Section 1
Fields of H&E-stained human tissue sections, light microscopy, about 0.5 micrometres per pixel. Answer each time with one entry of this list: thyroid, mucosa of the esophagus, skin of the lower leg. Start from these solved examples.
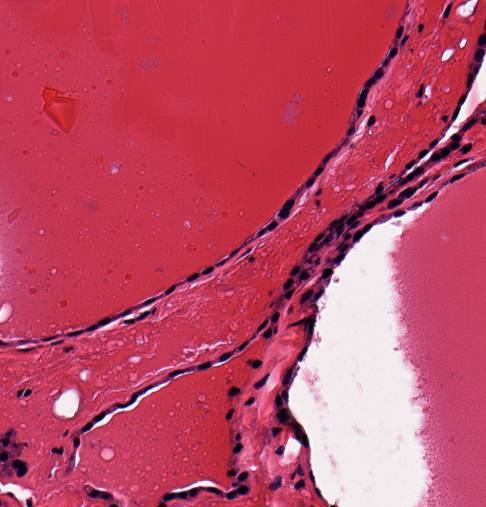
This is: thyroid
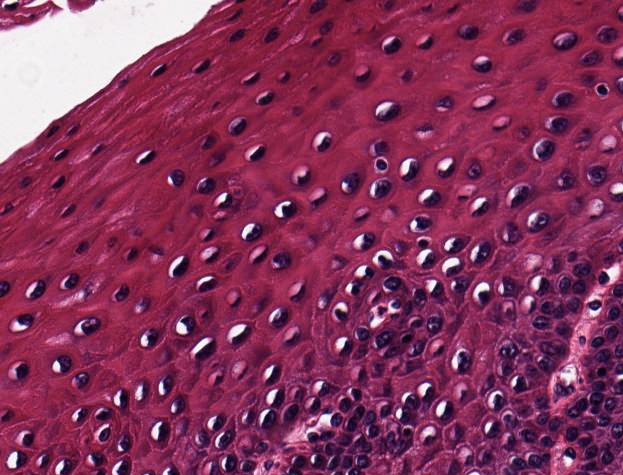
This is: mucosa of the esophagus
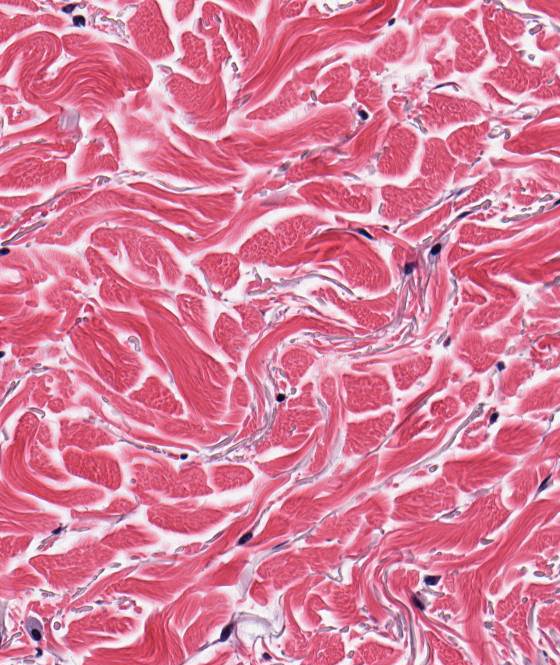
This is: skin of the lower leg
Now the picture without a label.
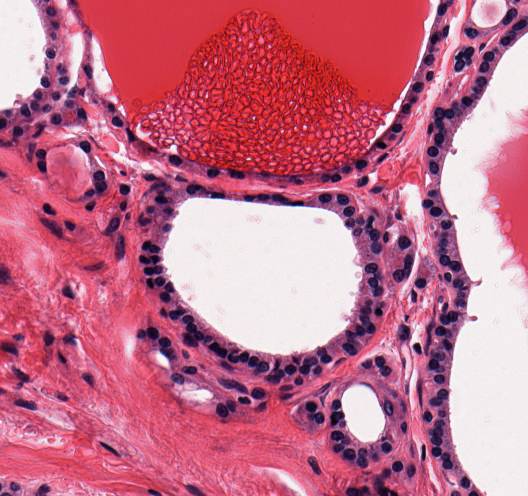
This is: thyroid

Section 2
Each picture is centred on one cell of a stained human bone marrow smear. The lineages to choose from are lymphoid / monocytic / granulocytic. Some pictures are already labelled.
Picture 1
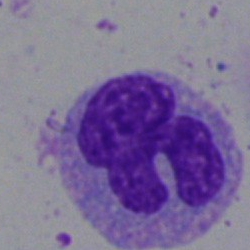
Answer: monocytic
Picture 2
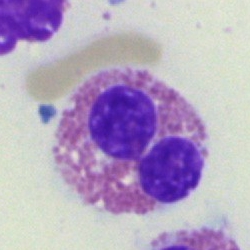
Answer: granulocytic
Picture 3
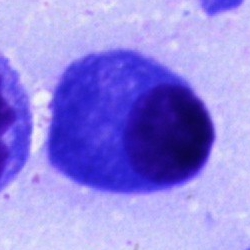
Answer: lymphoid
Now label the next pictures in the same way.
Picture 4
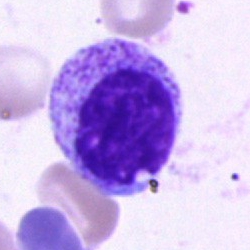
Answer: granulocytic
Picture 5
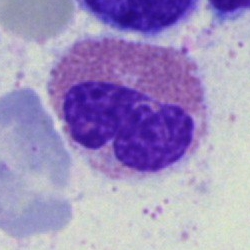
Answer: granulocytic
